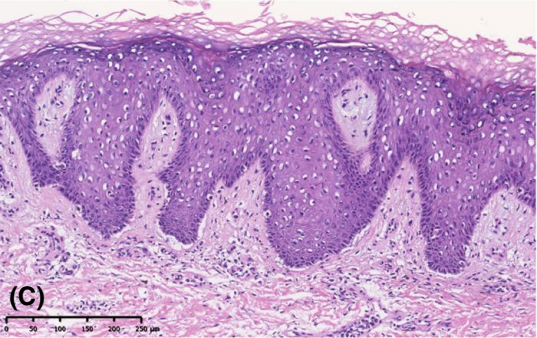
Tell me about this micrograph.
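This is skin with a much thickened epidermis whose rete ridges reach down as long, broad tongues into the pale pink dermis. On top lies a thickened, layered pink cornified layer, and in the upper dermis between the ridges are small dark round nuclei of inflammatory cells gathered around small vessels.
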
